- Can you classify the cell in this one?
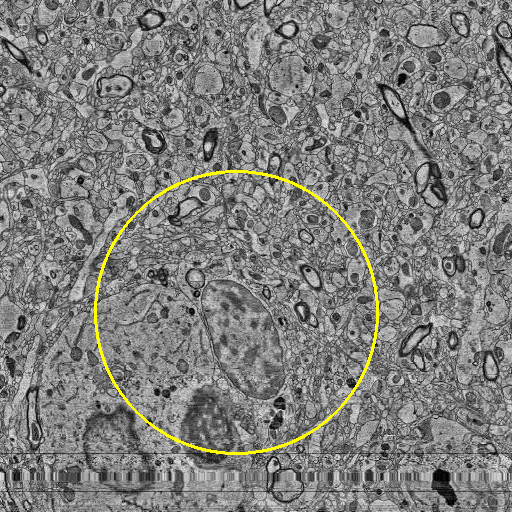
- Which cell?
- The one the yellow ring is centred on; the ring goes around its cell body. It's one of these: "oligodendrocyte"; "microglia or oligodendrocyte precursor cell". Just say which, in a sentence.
The cell body in the ring belongs to a microglial cell or oligodendrocyte precursor cell.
